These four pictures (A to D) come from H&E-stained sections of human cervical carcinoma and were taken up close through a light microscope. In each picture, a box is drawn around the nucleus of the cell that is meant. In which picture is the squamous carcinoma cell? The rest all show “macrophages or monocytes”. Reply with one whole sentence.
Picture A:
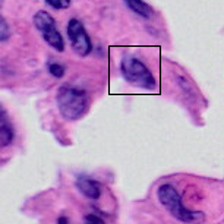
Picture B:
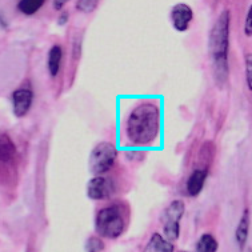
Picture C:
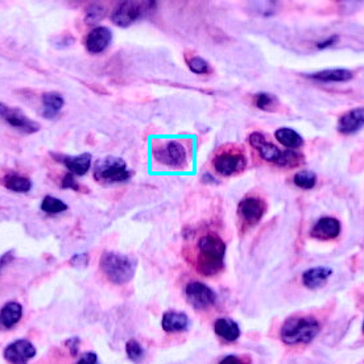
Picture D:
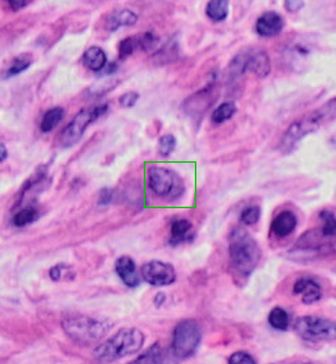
Picture A shows the squamous carcinoma cell.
